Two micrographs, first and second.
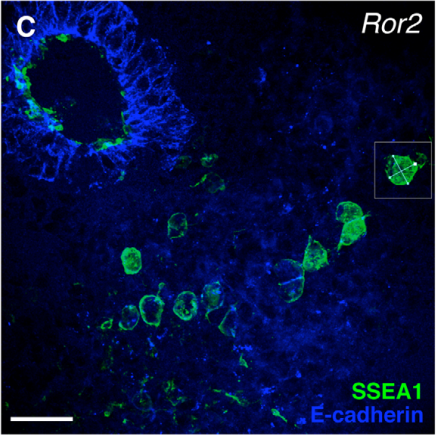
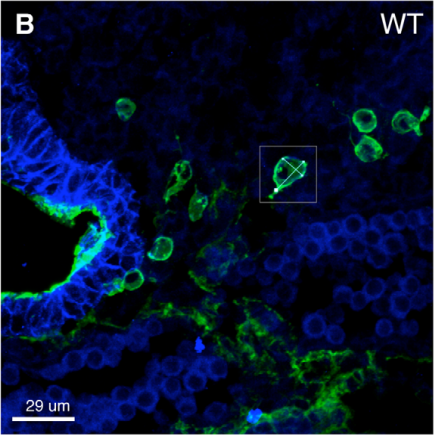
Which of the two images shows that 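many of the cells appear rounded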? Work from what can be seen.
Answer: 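The first image. First image: most green-outlined cells are smooth, round rings with few protrusions. Second image: several green-outlined cells are irregular, with spiky or sheet-like extensions.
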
